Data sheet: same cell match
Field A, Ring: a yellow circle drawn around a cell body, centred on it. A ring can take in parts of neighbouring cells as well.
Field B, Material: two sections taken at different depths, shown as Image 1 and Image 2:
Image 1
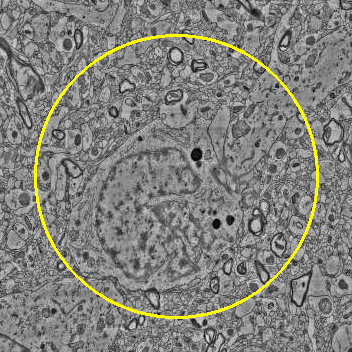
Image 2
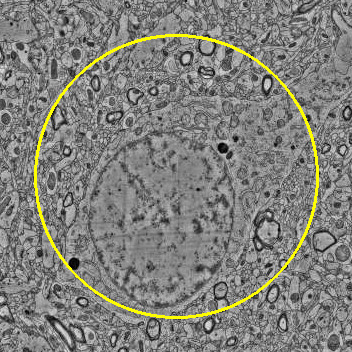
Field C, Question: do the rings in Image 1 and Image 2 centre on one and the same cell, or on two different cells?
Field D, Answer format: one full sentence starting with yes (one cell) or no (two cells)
Yes, the two marked outlines come from one and the same cell.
